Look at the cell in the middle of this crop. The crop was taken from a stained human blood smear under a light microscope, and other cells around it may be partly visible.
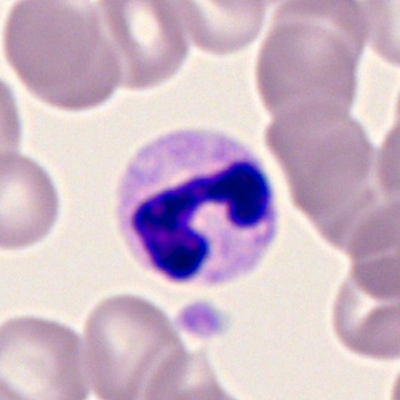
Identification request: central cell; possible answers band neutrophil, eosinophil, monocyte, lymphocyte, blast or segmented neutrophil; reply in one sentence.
In this smear crop, the middle cell is a segmented neutrophil.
